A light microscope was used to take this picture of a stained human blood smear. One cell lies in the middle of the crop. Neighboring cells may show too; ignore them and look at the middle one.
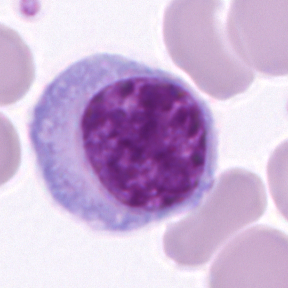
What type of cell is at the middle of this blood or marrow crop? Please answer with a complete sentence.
As for the cell in the middle, it is a plasma cell.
